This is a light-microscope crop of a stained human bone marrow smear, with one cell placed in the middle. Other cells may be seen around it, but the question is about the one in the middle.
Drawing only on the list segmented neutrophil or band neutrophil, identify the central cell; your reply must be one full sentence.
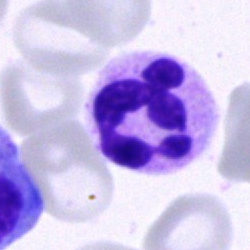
The central cell shown in this smear crop is a segmented neutrophil.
